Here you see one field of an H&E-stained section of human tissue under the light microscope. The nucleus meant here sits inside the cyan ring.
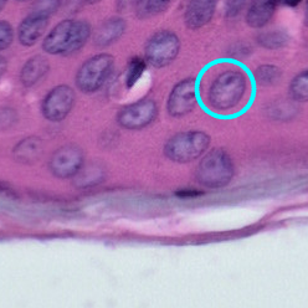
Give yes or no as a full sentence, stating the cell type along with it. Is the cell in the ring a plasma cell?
No, the cell in the ring is correctly named a suprabasal keratinocyte; it is not a plasma cell.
